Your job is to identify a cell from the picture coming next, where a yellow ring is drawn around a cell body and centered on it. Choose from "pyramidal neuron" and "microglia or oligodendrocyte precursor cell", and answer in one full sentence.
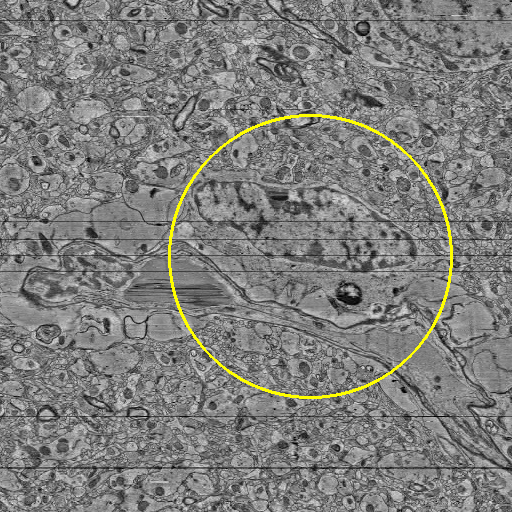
Centered in the yellow ring of the picture is the body of a microglial cell or oligodendrocyte precursor cell.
